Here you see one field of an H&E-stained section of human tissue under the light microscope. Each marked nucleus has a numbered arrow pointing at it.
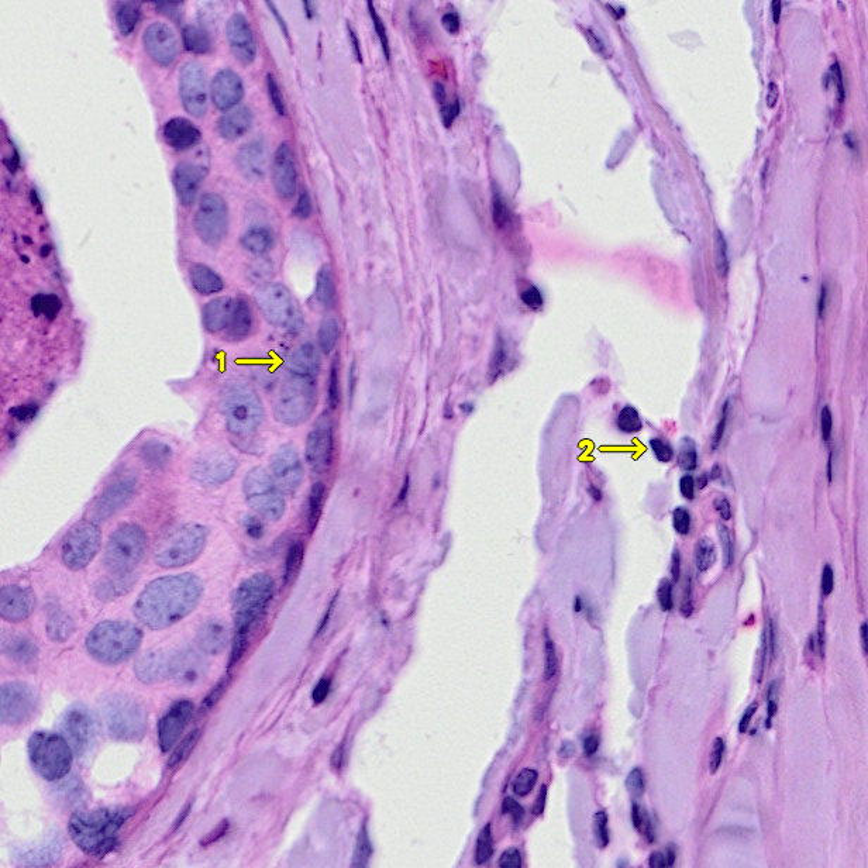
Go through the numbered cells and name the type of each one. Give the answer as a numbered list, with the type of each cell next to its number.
1. carcinoma cell
2. lymphocyte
